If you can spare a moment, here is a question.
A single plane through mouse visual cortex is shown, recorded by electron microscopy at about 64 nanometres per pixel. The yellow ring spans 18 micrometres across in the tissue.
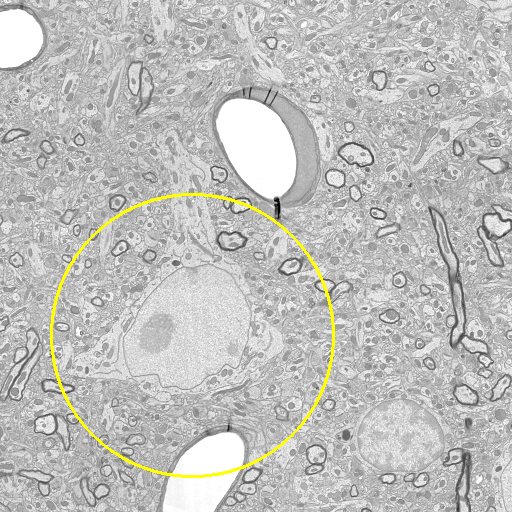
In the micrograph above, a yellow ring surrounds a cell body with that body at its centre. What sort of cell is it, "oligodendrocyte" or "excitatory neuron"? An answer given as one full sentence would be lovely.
Centred inside the yellow ring, the cell body shown belongs to an excitatory neuron in this micrograph.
